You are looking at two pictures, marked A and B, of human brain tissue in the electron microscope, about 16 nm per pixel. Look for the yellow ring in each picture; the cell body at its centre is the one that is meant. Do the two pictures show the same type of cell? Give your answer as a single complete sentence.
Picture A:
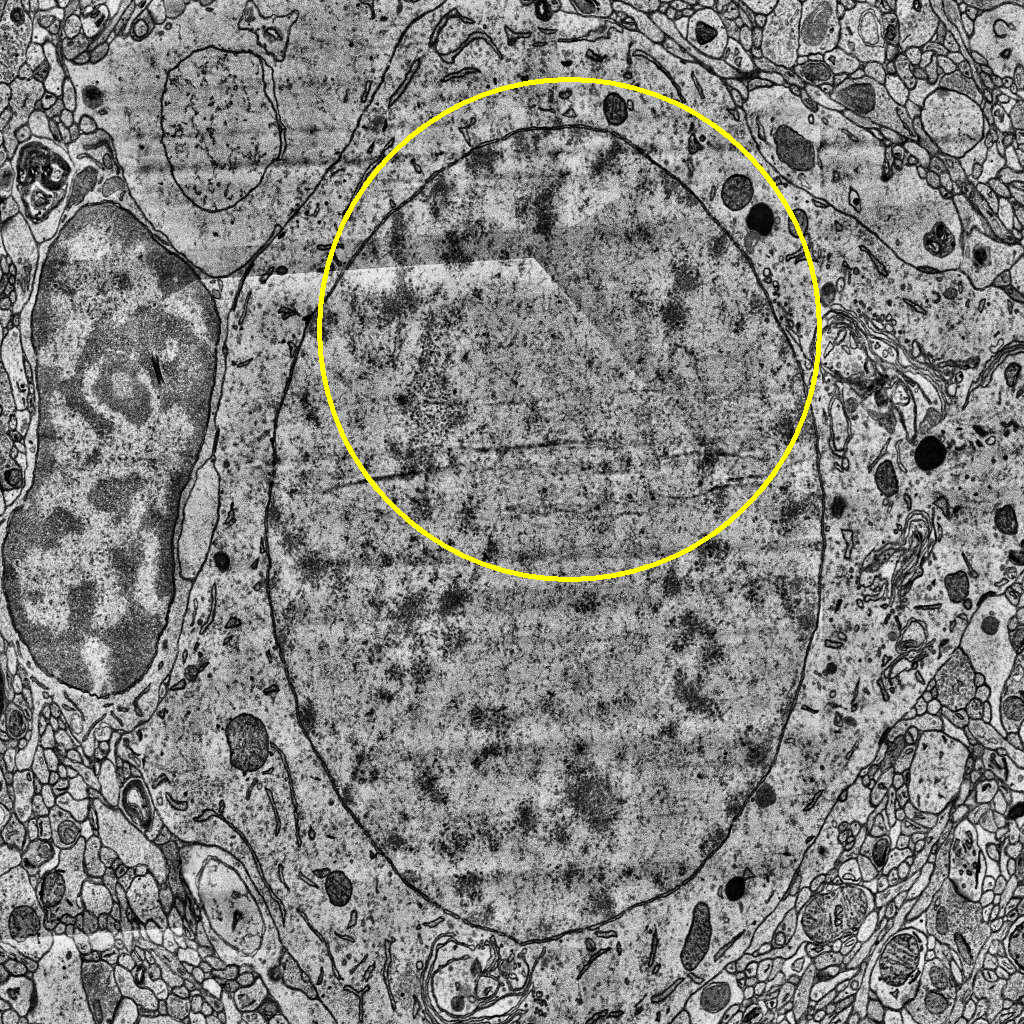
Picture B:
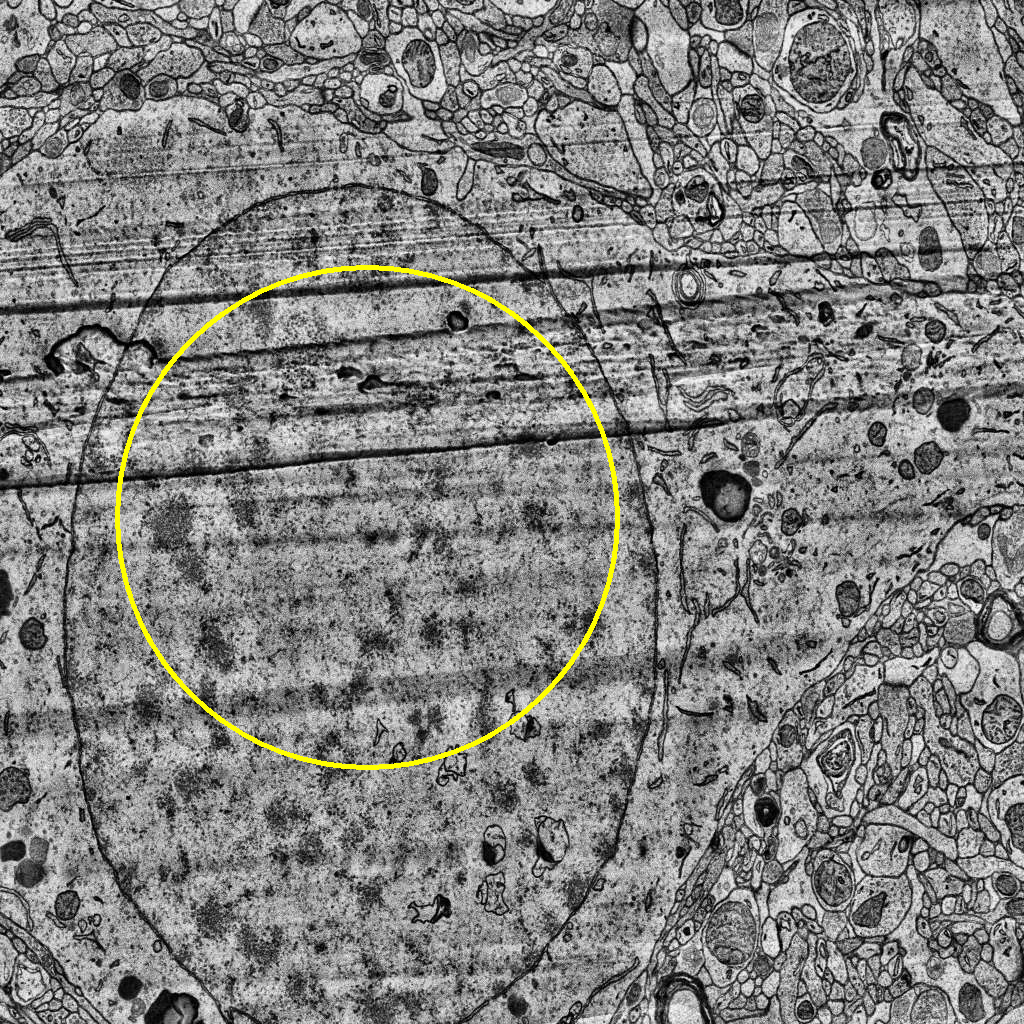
Yes; the cells in both pictures are pyramidal neurons.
